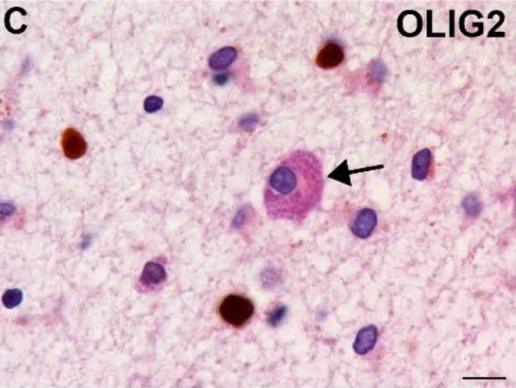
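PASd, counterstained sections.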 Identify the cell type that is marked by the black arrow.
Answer: inclusion cells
